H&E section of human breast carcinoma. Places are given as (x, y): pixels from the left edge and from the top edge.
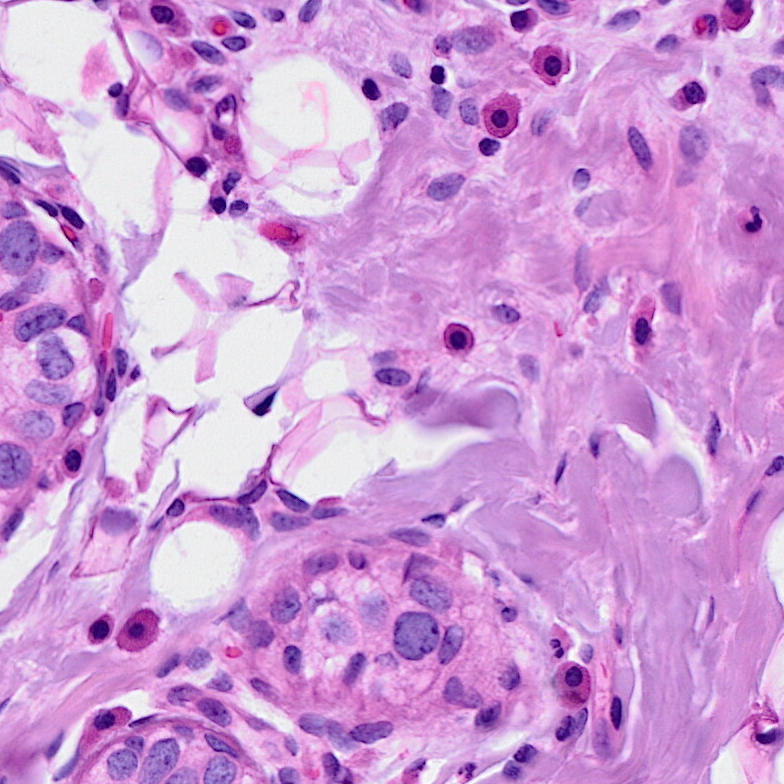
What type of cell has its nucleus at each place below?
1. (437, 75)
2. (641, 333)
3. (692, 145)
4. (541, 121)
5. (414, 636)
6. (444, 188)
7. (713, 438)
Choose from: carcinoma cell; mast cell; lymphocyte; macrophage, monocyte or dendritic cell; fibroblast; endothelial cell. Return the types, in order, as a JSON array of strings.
["lymphocyte", "mast cell", "fibroblast", "fibroblast", "carcinoma cell", "fibroblast", "fibroblast"]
